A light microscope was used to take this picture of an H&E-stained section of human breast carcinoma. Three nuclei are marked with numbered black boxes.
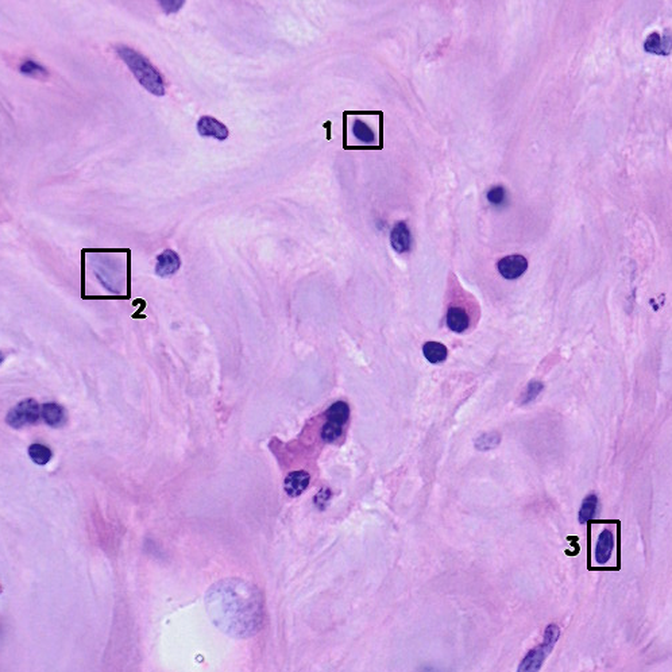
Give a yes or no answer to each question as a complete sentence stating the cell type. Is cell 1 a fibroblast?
No, cell 1 is to be classed as a lymphocyte, not a fibroblast.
